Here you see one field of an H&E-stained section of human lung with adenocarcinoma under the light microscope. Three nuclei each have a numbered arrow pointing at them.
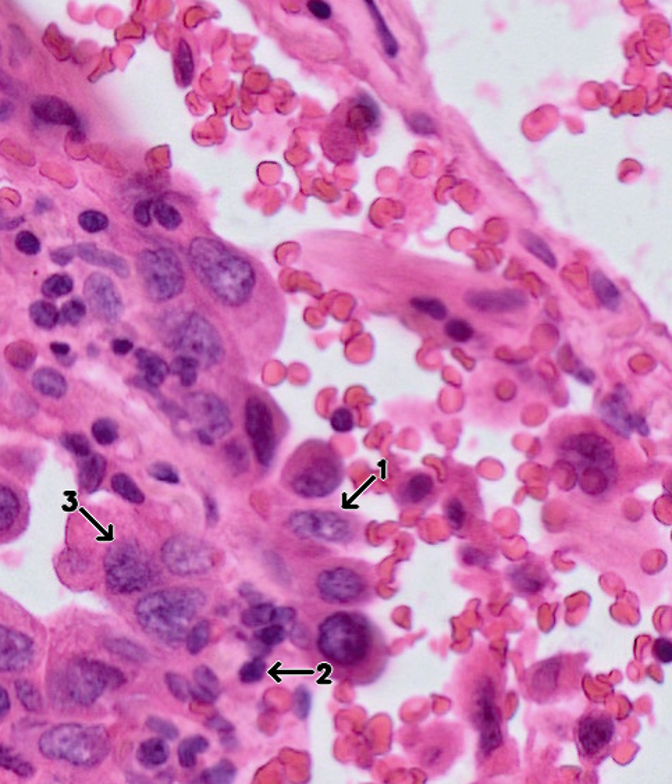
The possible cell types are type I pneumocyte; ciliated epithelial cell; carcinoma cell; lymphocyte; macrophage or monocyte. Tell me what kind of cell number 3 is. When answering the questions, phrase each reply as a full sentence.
Cell 3 is classified as a carcinoma cell.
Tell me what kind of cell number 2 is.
Cell 2 in the field of view is a lymphocyte.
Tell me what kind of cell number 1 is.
The marked cell with the number 1 is recognised as a carcinoma cell.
